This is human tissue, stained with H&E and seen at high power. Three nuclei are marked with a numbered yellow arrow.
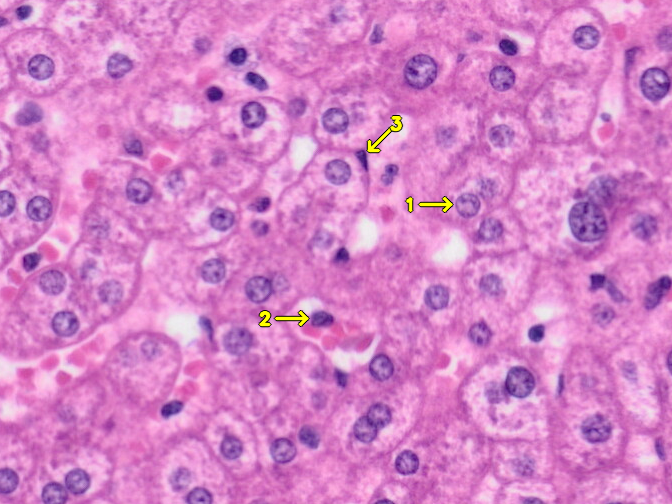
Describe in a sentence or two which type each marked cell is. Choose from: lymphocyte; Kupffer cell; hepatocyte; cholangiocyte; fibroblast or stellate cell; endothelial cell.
Cell 1 is a hepatocyte. Cell 2 is a Kupffer cell. Cell 3 is a fibroblast or stellate cell.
